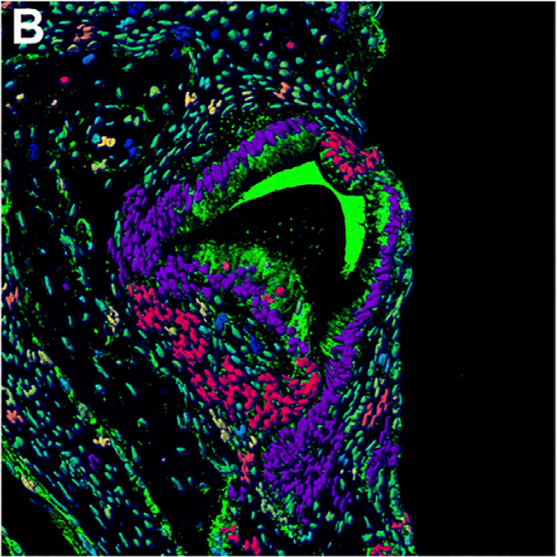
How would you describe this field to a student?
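A curved sheet of densely packed, elongated nuclei coloured purple arcs around the structure in a cap-like form. A bright green, wedge-shaped acellular band lies along the inner face of this sheet at its upper end. Clusters of rounder nuclei coloured red fill part of the concavity and extend below it. The surrounding tissue holds loosely scattered small nuclei in blue-green.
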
